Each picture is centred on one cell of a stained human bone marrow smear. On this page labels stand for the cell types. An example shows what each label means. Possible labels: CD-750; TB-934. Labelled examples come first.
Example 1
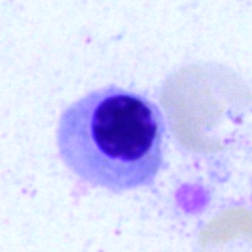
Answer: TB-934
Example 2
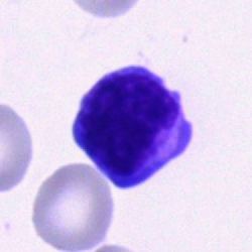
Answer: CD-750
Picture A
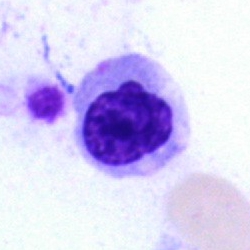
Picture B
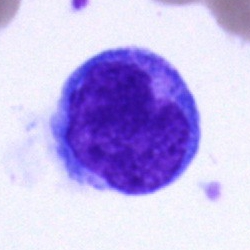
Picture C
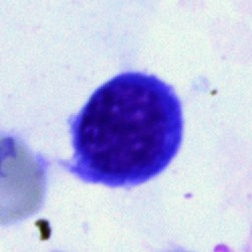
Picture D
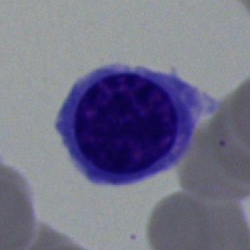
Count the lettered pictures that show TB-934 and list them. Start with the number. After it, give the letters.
Count: 3 (A, C, D)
